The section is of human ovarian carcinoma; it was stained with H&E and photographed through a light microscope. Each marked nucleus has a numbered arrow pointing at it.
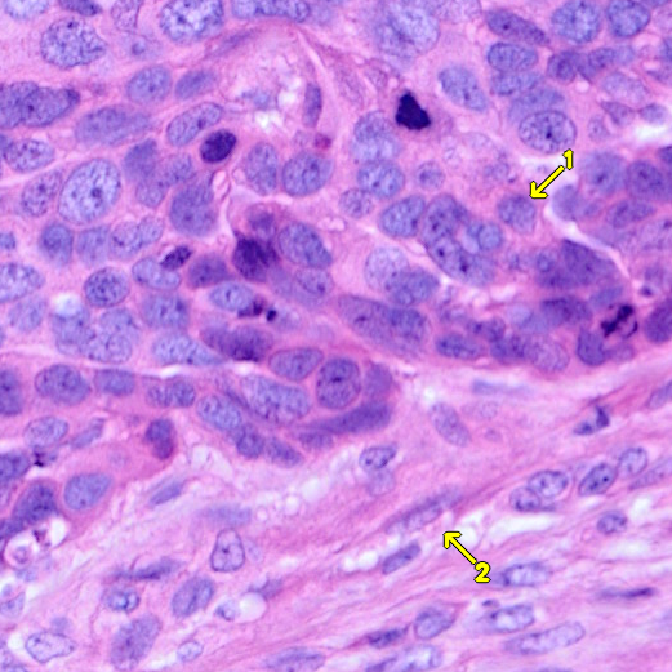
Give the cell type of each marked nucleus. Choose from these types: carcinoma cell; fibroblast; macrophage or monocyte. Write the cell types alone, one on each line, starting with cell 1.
carcinoma cell
fibroblast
